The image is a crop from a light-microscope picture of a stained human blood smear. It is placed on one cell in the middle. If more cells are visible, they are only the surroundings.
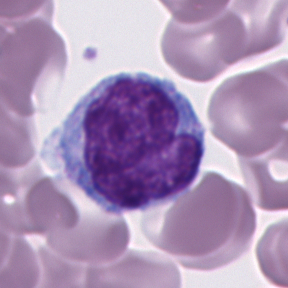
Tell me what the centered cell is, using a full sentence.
In this smear crop, the middle cell is a monocyte.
